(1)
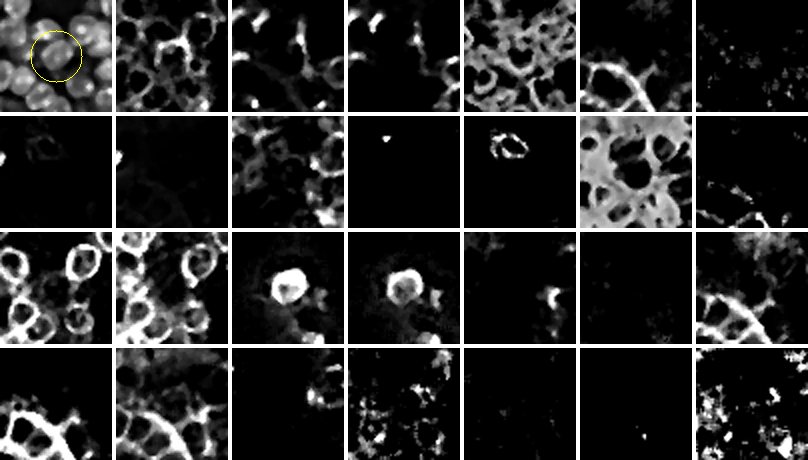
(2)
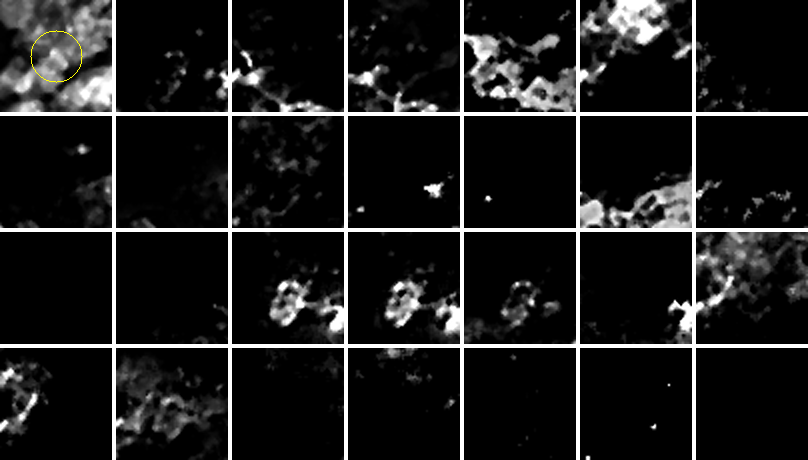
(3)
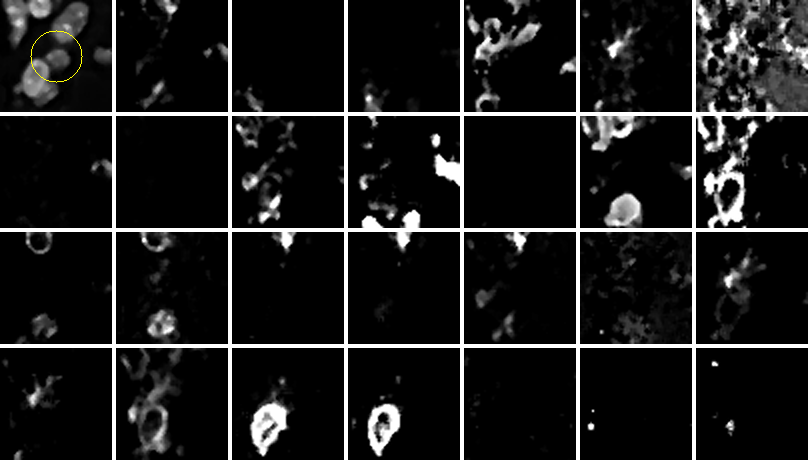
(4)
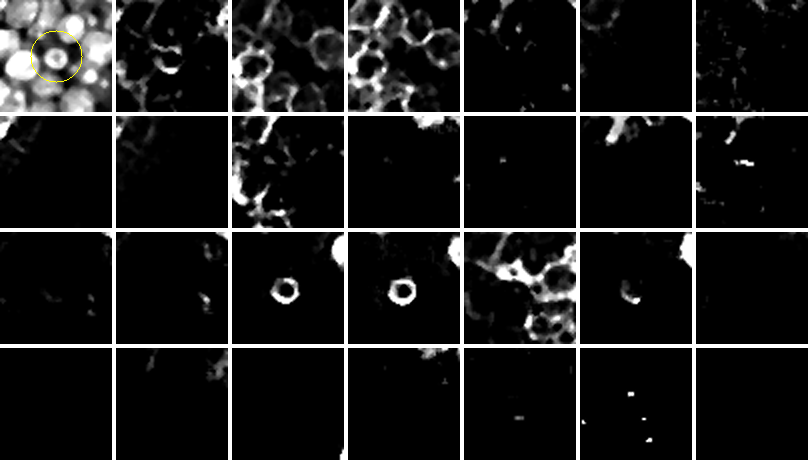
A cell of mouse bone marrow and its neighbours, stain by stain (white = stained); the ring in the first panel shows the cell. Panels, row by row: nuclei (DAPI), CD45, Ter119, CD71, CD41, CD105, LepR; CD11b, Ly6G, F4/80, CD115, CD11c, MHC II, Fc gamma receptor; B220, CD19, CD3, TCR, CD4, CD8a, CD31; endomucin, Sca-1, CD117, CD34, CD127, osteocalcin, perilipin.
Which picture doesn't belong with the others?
Picture 3.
